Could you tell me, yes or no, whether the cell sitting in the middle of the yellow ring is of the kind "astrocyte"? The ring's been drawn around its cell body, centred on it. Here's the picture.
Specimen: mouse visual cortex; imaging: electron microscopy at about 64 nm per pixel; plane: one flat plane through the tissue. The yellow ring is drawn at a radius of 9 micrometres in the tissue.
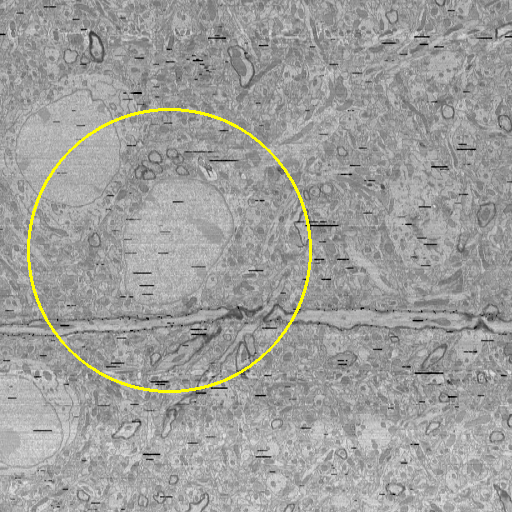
Yes, it is.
